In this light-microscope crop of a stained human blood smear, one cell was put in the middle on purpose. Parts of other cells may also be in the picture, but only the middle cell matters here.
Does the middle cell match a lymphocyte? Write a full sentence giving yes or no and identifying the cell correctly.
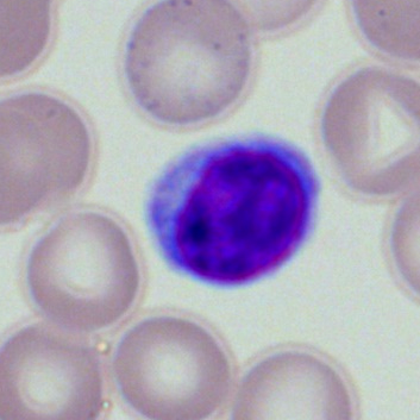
Yes, the cell at the centre of the field is a lymphocyte.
